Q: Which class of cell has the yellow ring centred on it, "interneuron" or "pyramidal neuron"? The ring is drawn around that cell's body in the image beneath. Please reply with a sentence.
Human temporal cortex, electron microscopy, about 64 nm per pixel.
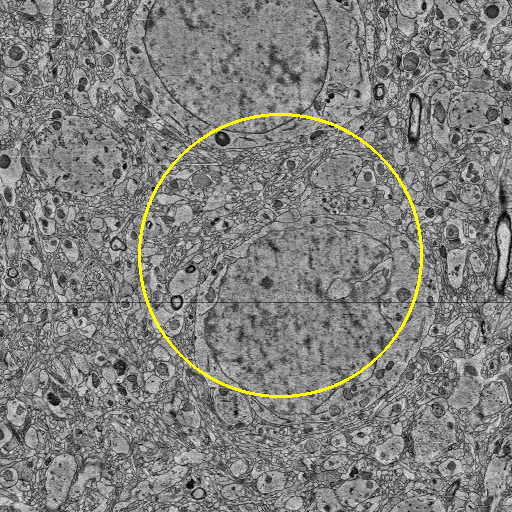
It is centred on an interneuron.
